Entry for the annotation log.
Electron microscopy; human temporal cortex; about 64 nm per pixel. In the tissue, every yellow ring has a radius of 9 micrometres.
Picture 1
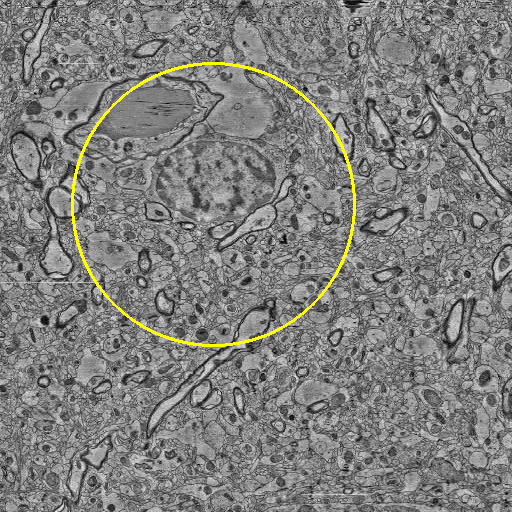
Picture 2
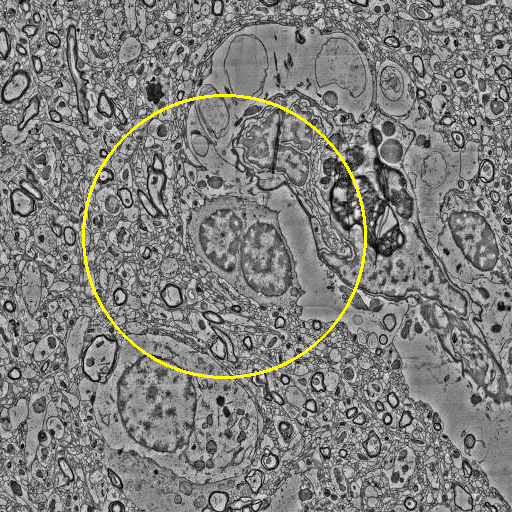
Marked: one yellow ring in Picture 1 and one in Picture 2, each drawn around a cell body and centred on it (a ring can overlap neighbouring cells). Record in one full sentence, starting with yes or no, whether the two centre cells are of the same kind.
Yes, both cells are of the same kind.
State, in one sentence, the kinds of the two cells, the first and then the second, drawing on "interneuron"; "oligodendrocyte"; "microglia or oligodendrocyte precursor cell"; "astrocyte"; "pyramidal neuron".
The first and the second cell are each an oligodendrocyte.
